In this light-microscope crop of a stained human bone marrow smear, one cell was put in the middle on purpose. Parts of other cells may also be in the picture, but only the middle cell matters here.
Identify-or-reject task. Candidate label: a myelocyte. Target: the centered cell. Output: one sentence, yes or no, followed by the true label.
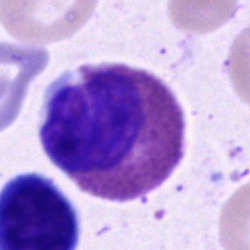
No, the cell in the middle should be called an eosinophil instead of a myelocyte.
